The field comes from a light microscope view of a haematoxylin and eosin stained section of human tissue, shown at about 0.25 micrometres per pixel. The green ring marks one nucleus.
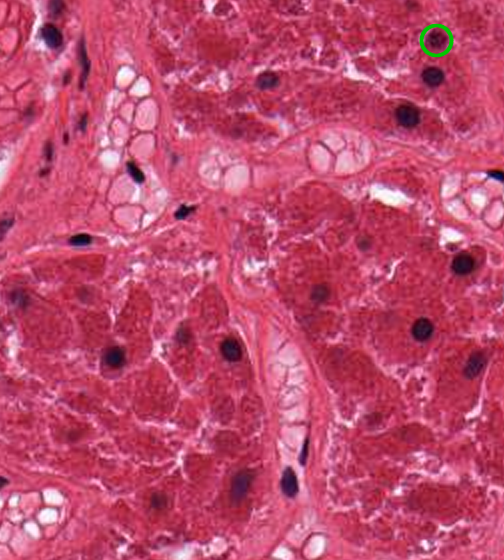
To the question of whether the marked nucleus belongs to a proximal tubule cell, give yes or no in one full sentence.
Yes, it is a proximal tubule cell to which the marked nucleus belongs.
